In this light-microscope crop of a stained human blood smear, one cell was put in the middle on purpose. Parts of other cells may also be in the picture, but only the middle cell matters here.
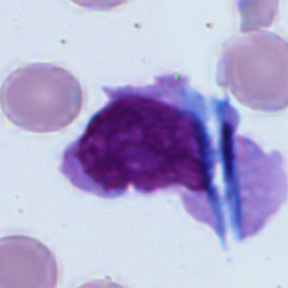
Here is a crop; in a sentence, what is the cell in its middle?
At the middle of the frame sits a plasma cell.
